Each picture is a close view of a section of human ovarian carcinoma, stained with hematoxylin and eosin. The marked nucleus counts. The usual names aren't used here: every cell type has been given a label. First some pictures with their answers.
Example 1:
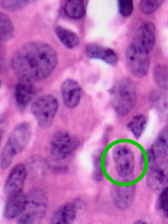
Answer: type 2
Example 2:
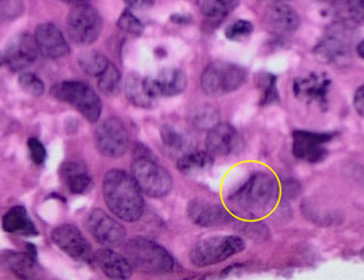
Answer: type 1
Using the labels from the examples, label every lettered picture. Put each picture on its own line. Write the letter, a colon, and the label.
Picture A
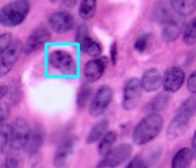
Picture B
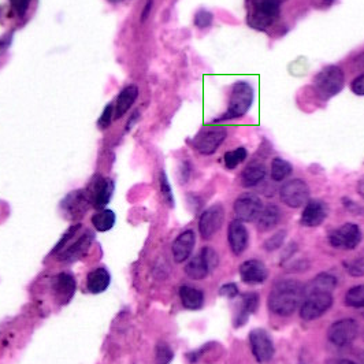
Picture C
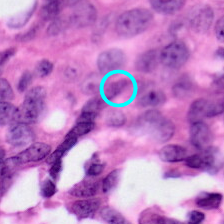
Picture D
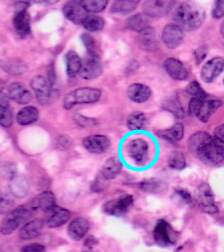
A: type 2
B: type 2
C: type 1
D: type 2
